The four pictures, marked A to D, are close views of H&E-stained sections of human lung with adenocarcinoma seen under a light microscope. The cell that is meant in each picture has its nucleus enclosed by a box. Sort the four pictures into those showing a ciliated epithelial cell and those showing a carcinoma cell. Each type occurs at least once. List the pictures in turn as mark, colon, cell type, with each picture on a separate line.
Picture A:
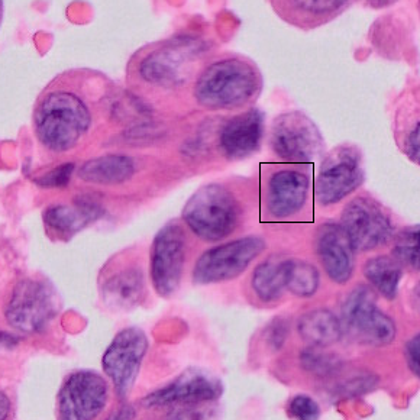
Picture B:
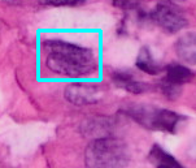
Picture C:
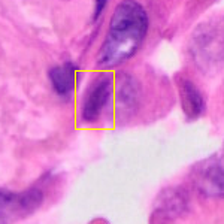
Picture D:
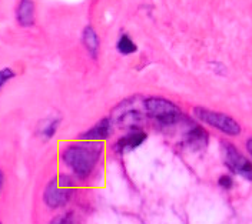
A: carcinoma cell
B: ciliated epithelial cell
C: carcinoma cell
D: ciliated epithelial cell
